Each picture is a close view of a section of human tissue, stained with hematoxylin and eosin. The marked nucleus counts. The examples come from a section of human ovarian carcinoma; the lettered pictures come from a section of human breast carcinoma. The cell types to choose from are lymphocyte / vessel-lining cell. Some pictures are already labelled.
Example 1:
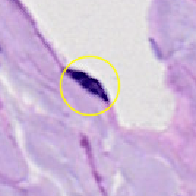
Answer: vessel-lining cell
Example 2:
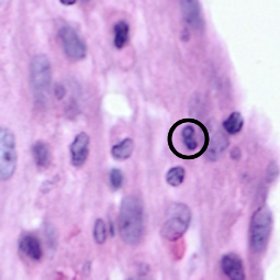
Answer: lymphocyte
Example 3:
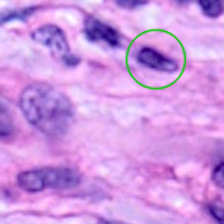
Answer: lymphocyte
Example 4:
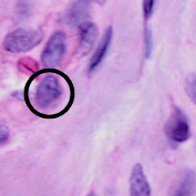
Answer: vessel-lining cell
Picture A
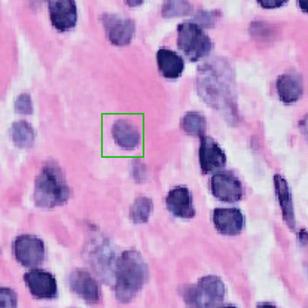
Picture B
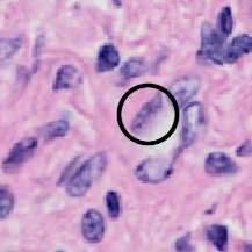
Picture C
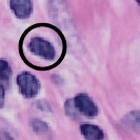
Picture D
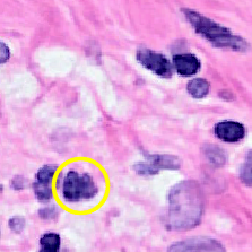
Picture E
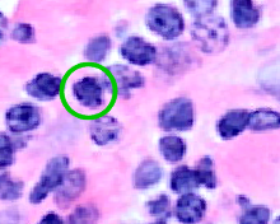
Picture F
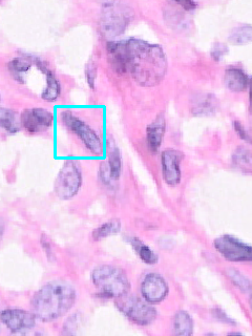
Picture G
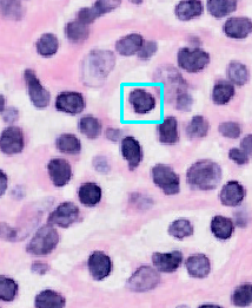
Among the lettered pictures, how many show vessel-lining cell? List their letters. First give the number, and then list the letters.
2: B, F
